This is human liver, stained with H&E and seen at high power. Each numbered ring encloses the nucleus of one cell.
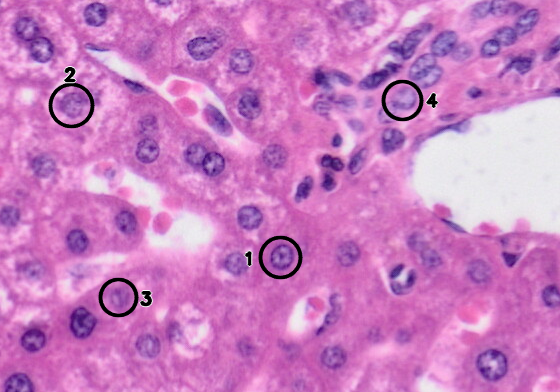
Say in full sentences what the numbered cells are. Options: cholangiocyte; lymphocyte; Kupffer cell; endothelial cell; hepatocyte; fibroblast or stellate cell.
Cells 1, 2 and 3 are hepatocytes. Cell 4 is a cholangiocyte.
